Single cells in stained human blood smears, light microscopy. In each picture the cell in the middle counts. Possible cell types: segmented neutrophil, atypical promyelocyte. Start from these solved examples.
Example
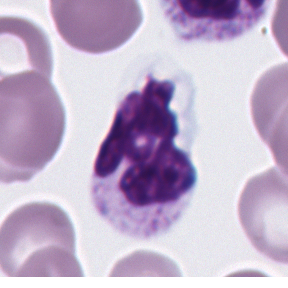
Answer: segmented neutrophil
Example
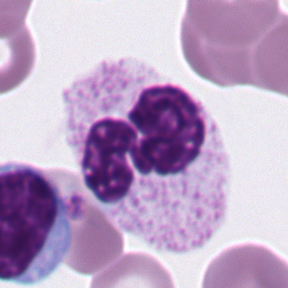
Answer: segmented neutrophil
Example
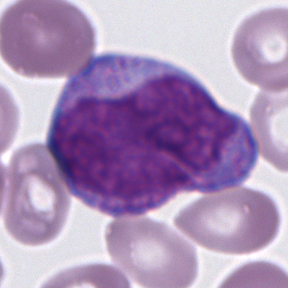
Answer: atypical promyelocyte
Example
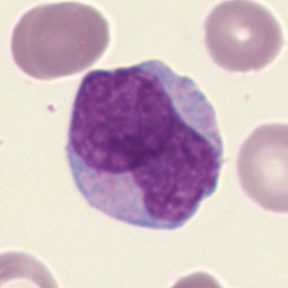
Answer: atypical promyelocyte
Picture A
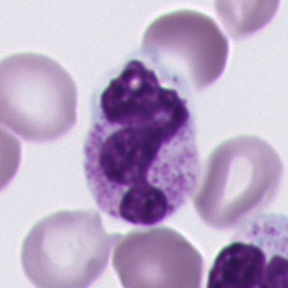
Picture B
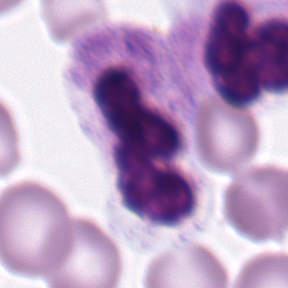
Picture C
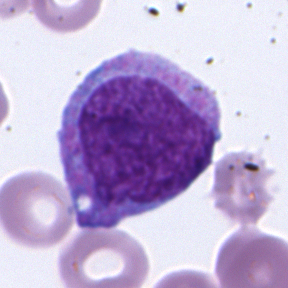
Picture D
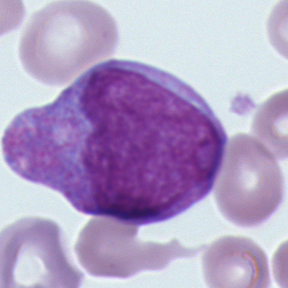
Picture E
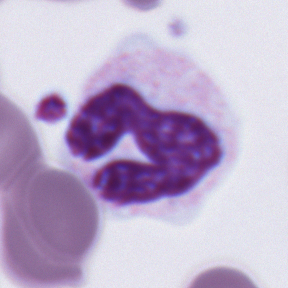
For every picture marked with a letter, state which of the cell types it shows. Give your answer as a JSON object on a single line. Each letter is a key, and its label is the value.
{"A": "segmented neutrophil", "B": "segmented neutrophil", "C": "atypical promyelocyte", "D": "atypical promyelocyte", "E": "segmented neutrophil"}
